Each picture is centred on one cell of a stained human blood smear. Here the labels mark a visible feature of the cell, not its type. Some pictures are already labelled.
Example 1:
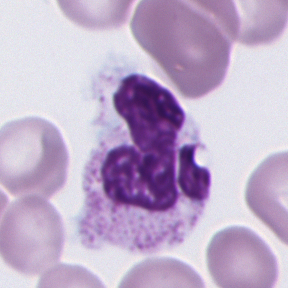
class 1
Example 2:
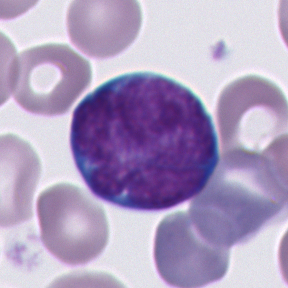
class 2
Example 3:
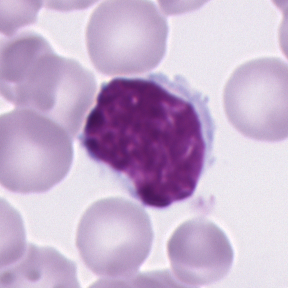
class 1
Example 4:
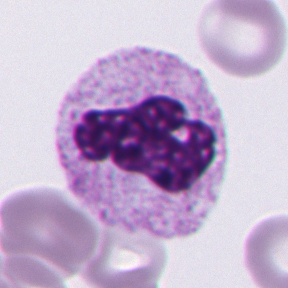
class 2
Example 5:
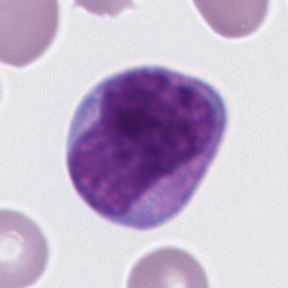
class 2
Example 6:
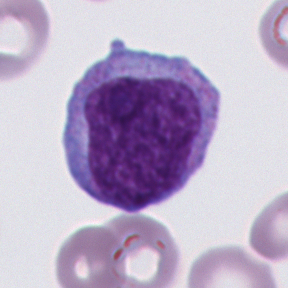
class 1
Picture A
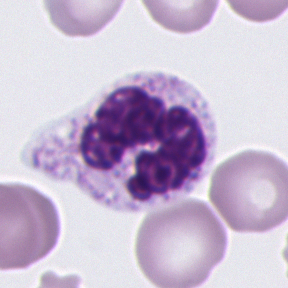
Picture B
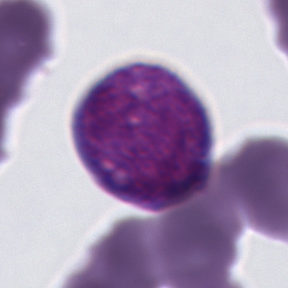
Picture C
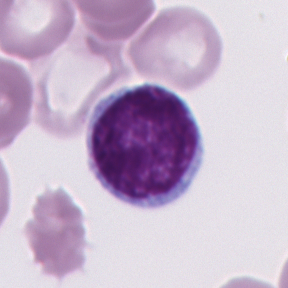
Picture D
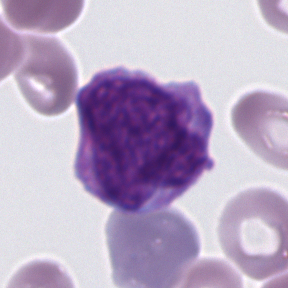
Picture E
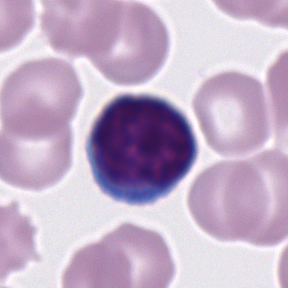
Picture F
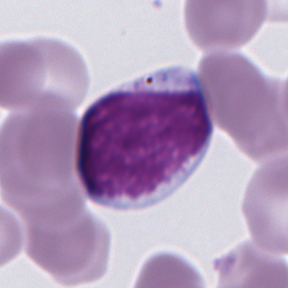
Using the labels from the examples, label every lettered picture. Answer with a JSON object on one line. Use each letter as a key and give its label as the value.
{"A": "class 1", "B": "class 2", "C": "class 2", "D": "class 1", "E": "class 2", "F": "class 2"}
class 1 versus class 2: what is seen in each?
Seen in class 1: ragged outline or projections; seen in class 2: smooth outline.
